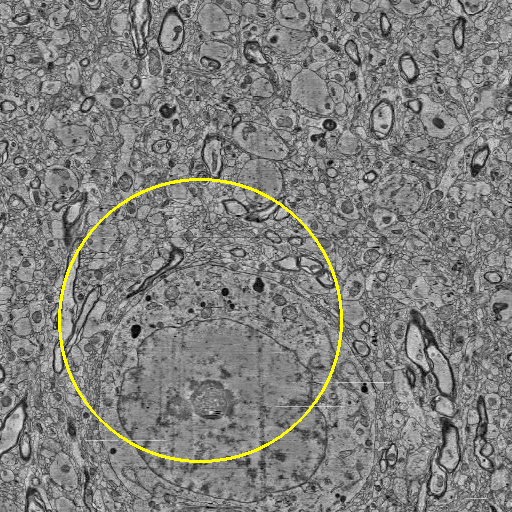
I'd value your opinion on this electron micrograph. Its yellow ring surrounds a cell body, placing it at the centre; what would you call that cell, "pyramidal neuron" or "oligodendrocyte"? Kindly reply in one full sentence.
It is a pyramidal neuron that sits centred within the yellow ring in this micrograph.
